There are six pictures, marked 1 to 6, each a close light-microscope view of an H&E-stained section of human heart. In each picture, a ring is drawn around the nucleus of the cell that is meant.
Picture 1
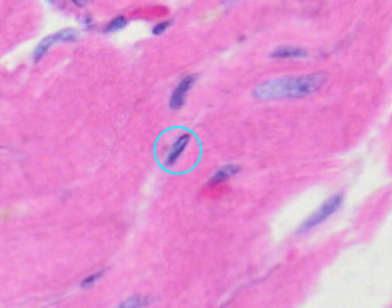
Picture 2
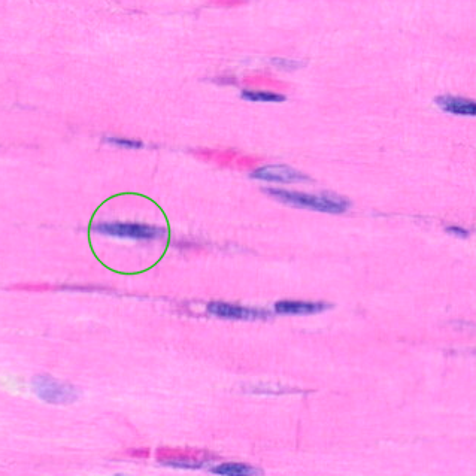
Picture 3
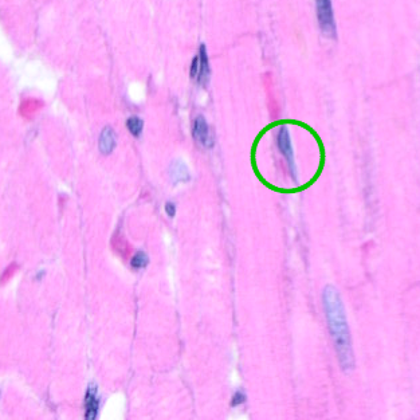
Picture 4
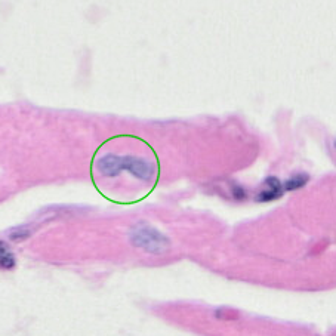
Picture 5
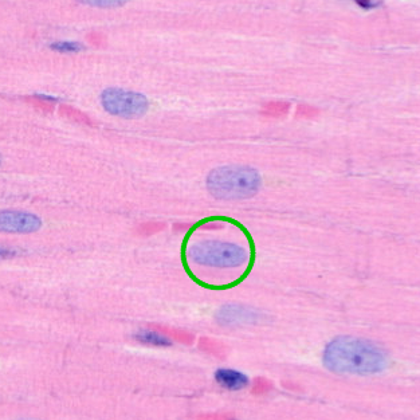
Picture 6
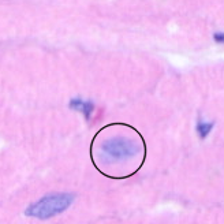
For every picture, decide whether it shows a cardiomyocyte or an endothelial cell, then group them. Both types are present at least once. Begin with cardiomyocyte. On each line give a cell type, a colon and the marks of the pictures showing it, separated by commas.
cardiomyocyte: 4, 5, 6
endothelial cell: 1, 2, 3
